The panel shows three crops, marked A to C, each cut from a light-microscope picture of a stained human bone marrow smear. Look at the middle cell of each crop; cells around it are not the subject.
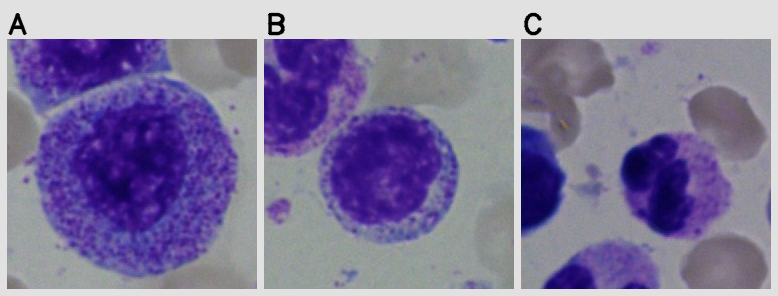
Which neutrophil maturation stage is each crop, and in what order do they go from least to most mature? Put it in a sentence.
In ascending order of maturity, the sequence is crop A (a promyelocyte), crop B (a myelocyte) and crop C (a segmented neutrophil).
